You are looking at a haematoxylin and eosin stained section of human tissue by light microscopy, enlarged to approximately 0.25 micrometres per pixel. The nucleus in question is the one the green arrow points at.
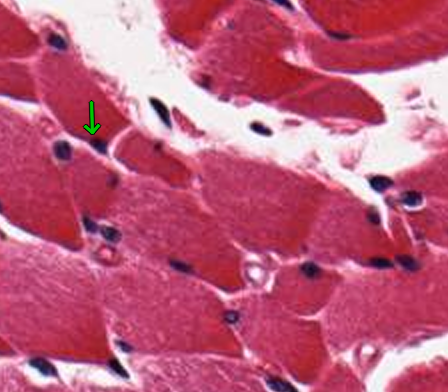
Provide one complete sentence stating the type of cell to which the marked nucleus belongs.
In the section shown, the marked nucleus belongs to a skeletal muscle fibre.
